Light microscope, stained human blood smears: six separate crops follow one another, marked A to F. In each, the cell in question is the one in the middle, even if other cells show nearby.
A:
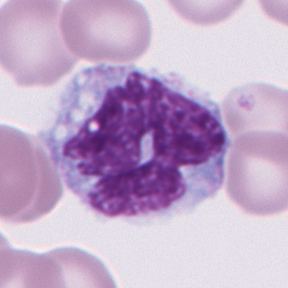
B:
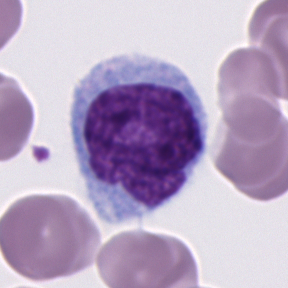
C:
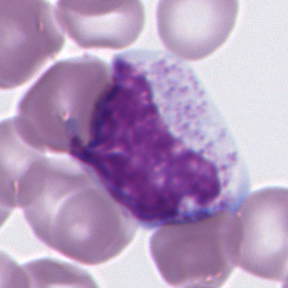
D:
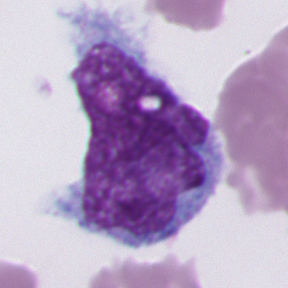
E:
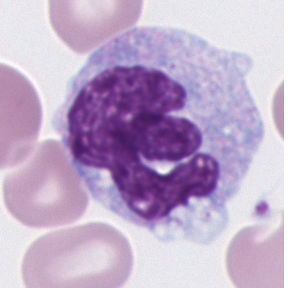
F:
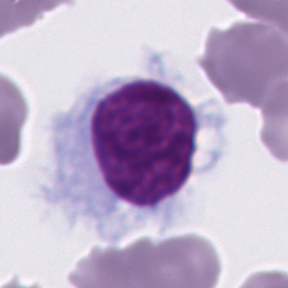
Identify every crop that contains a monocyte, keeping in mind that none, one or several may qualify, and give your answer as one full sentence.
The cells in crops A, B, D and E are monocytes.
